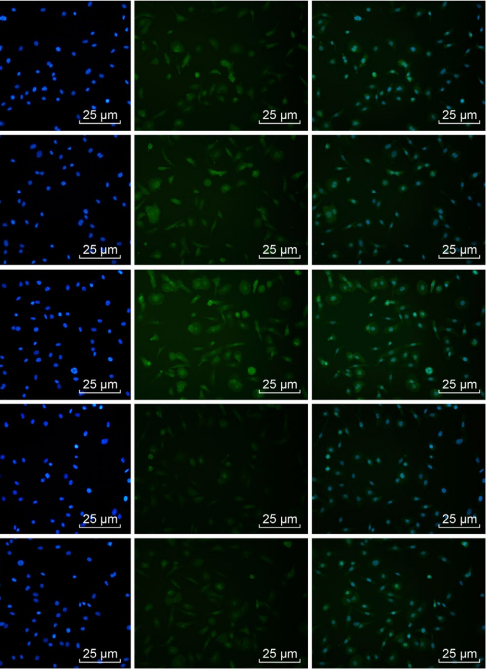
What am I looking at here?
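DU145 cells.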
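These are cultured cells in a loose monolayer, seen as nuclei in one column, green staining in the next, and the two overlaid. The nuclei are small, round to oval blue bodies scattered fairly evenly across the field, with gaps between neighbouring cells. The green staining fills the cell bodies, outlining flattened polygonal to elongated cells, some with short tapering extensions. The brightness of the green differs between rows: some rows show strong, clearly outlined cells, while others show only faint green around the nuclei.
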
